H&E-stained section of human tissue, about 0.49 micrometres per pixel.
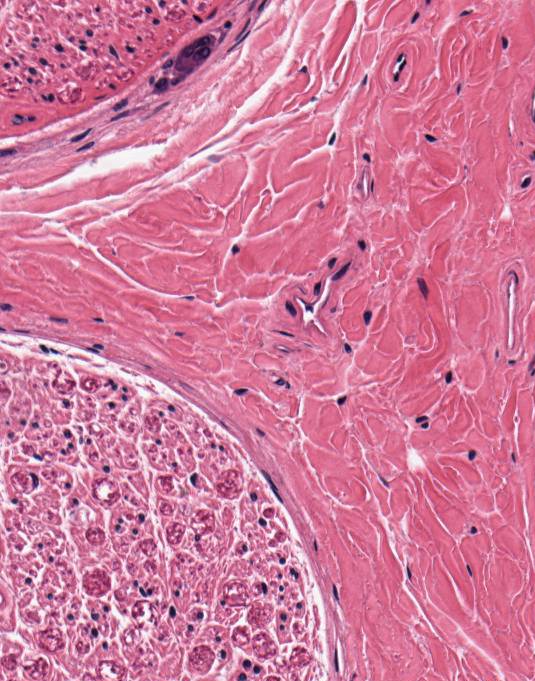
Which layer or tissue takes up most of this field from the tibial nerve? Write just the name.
epineurium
